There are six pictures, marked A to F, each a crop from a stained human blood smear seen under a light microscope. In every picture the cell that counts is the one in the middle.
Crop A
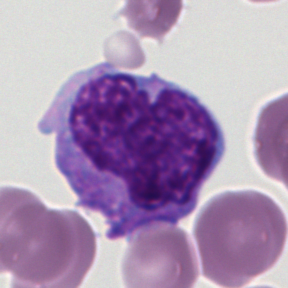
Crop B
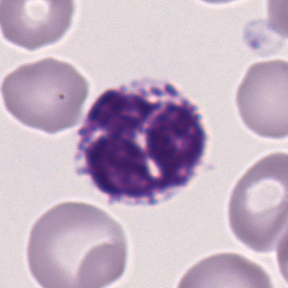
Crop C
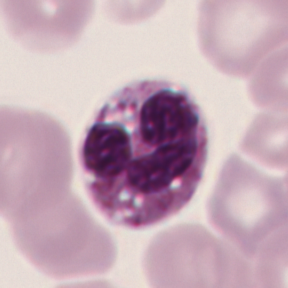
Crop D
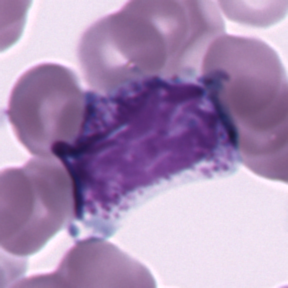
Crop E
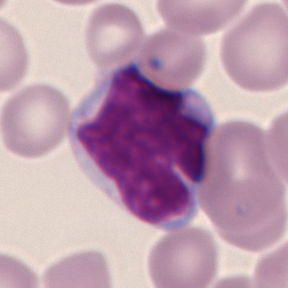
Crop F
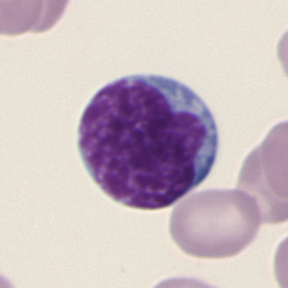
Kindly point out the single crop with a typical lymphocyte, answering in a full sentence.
The crop with a typical lymphocyte in it is crop F.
